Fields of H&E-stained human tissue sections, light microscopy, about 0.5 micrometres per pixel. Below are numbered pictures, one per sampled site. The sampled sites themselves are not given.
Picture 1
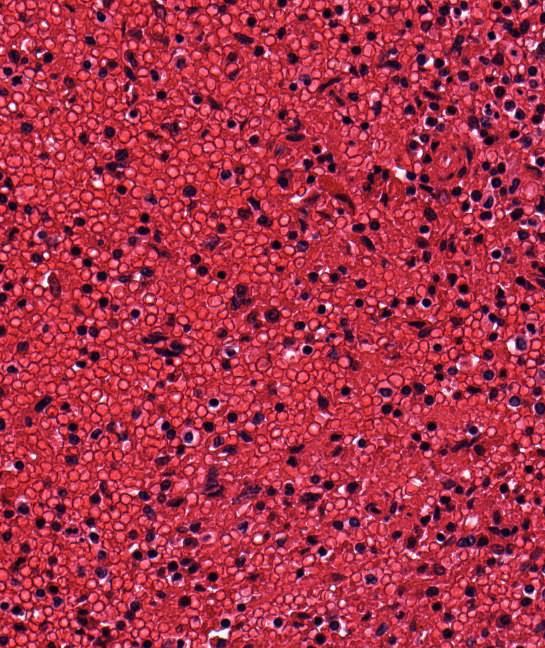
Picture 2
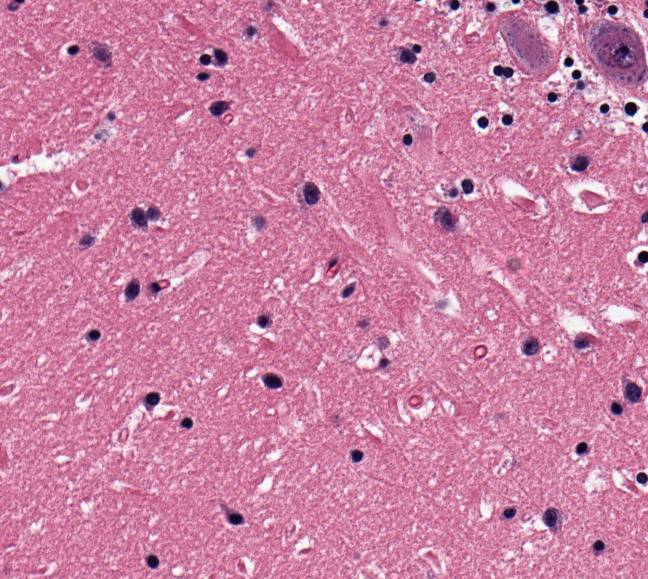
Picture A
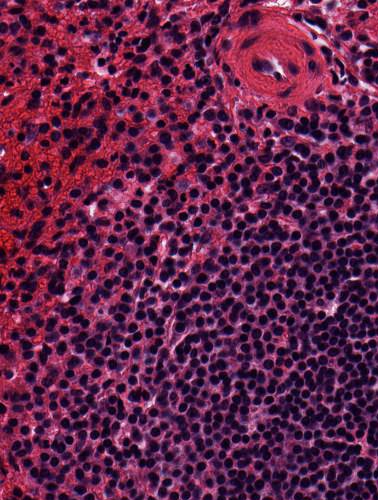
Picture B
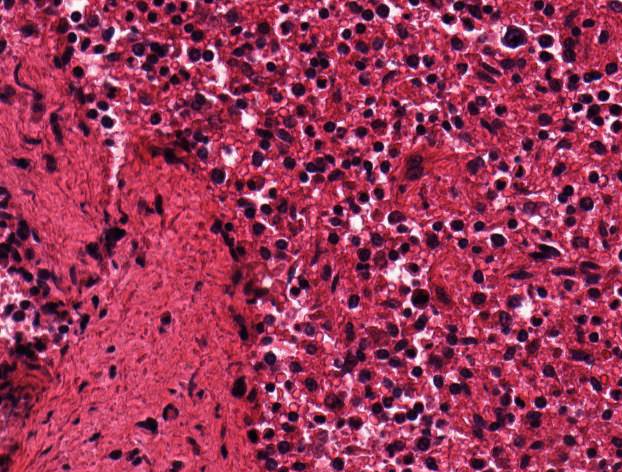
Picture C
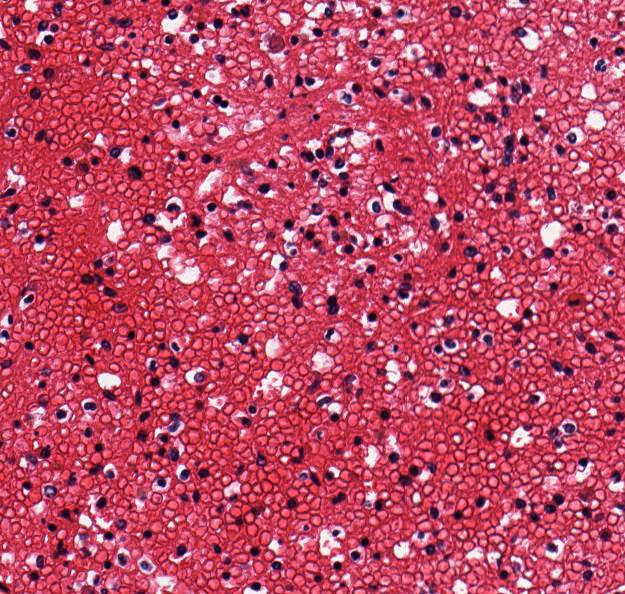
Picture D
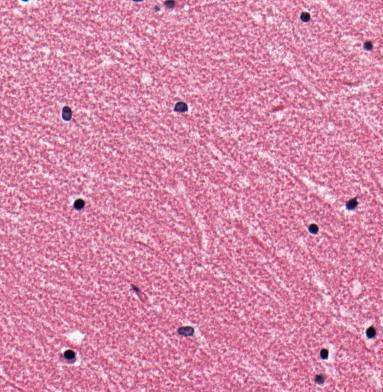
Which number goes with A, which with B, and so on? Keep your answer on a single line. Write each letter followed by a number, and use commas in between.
A 1, B 1, C 1, D 2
